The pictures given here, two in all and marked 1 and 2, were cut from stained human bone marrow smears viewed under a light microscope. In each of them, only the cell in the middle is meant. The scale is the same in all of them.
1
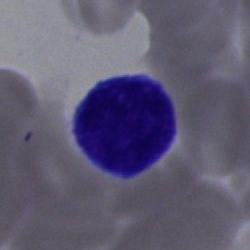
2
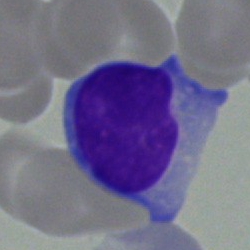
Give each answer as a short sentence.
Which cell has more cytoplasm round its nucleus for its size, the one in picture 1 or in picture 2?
Of the two, the nucleus in picture 2 leaves more room for cytoplasm.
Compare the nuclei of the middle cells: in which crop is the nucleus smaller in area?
Smaller is the nucleus in picture 1, and the other is about 1.5 times as large in area.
